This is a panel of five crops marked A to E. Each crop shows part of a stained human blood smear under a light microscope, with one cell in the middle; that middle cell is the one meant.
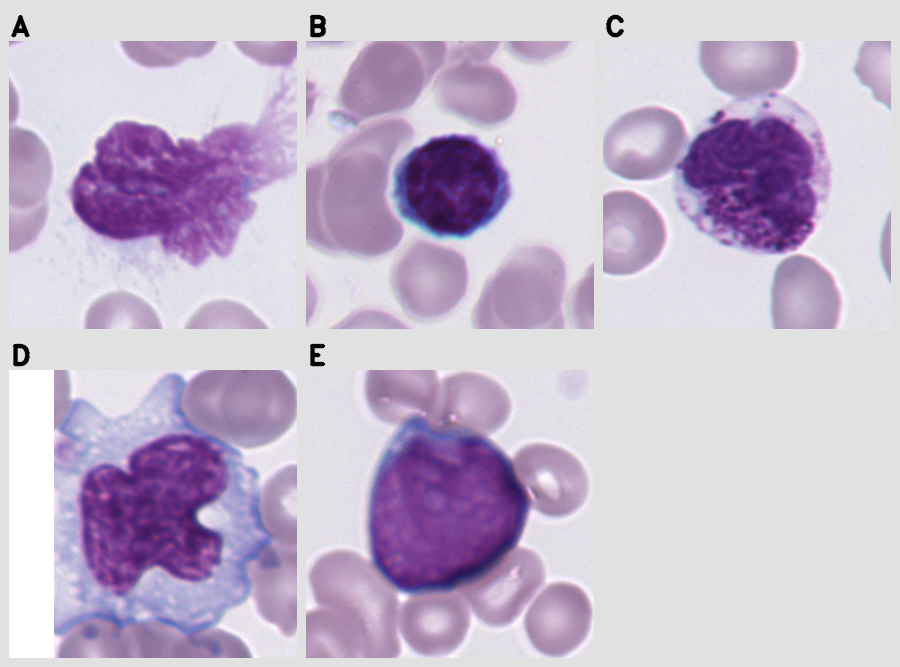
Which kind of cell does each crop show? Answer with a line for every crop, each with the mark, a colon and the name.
A: smudge cell
B: typical lymphocyte
C: basophil
D: monocyte
E: myeloblast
